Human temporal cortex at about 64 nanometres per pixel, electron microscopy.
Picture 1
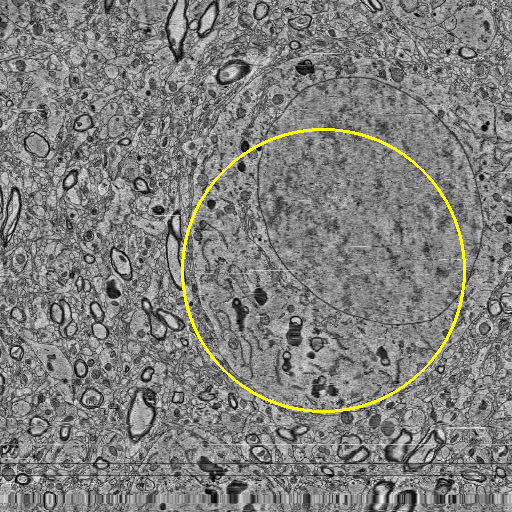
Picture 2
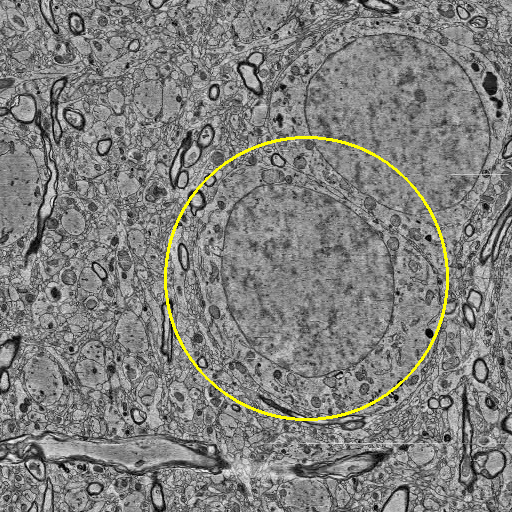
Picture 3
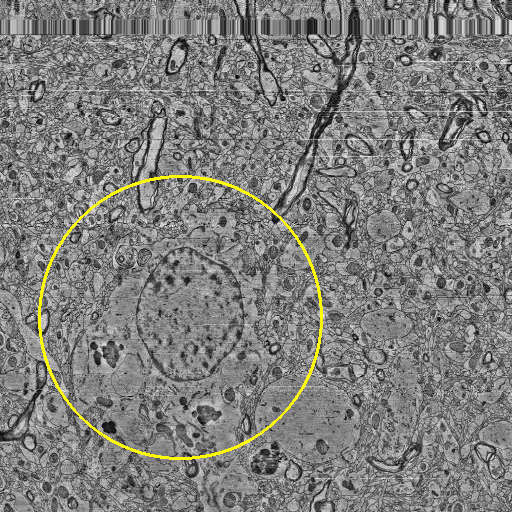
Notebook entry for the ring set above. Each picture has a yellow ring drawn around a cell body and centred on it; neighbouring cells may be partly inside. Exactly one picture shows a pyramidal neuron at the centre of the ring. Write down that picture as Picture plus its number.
Picture 1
